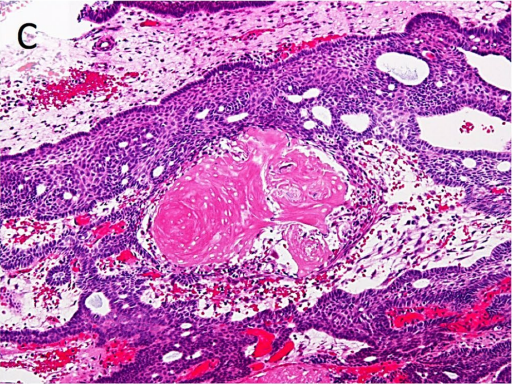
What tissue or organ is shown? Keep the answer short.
Adamantinomatous craniopharyngioma.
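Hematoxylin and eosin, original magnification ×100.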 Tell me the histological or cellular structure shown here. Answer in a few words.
wet keratin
